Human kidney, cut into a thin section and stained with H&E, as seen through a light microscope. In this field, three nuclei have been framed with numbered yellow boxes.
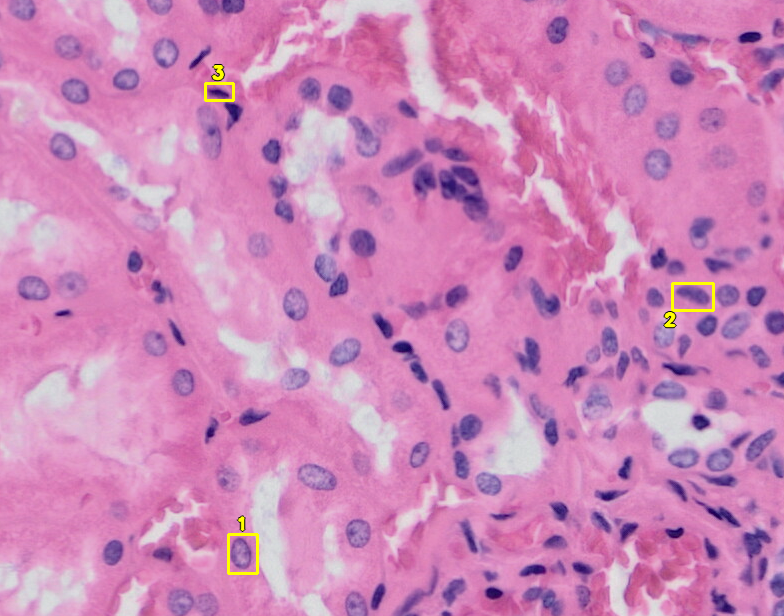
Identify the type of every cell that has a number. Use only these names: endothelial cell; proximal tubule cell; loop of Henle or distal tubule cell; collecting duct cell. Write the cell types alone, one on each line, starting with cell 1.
proximal tubule cell
collecting duct cell
endothelial cell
